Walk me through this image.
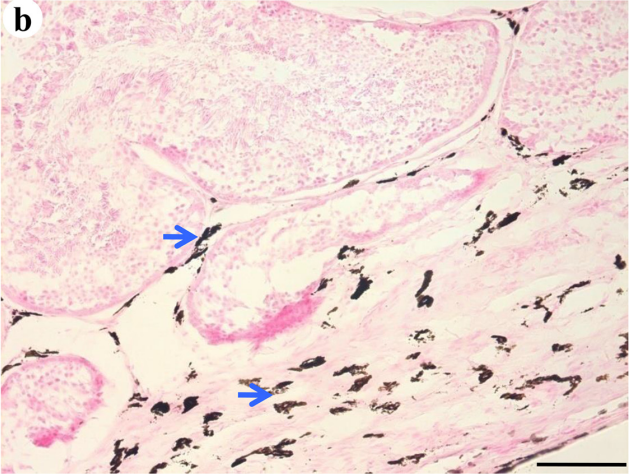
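Testis with pigmented dendritic melanocytes in the interstitium between seminiferous-like tubules. Black-brown cells with short branching processes lie closely along the tubule walls and scatter through the interstitial connective tissue. The pigment is dense enough to hide the cell interiors.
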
